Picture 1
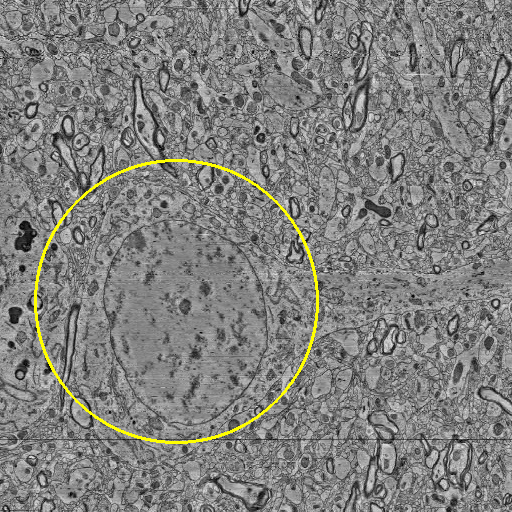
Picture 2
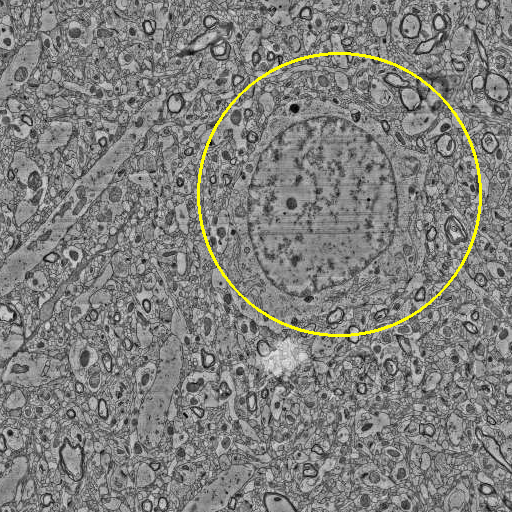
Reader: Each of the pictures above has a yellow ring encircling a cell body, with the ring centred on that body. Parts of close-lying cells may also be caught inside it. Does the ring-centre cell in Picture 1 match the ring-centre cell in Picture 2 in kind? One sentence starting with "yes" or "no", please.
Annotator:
No, Picture 1 and Picture 2 show ring-centre cells of two kinds.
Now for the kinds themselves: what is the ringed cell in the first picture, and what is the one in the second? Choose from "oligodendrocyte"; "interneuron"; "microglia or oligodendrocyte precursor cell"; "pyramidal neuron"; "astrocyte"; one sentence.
Here the first cell is a pyramidal neuron and the second cell is an interneuron.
